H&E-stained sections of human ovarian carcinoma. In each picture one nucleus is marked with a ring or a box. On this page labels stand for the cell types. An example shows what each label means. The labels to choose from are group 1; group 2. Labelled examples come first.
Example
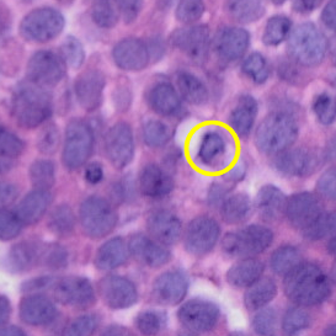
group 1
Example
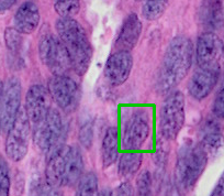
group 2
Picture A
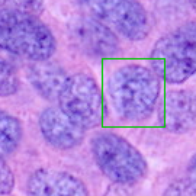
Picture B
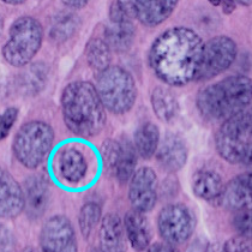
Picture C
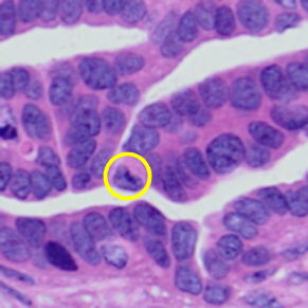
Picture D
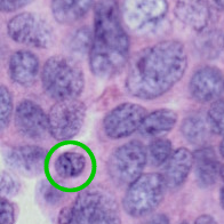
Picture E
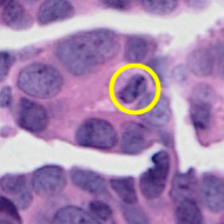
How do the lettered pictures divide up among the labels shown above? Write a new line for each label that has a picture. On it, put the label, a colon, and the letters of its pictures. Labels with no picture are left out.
group 1: B, C, D, E
group 2: A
